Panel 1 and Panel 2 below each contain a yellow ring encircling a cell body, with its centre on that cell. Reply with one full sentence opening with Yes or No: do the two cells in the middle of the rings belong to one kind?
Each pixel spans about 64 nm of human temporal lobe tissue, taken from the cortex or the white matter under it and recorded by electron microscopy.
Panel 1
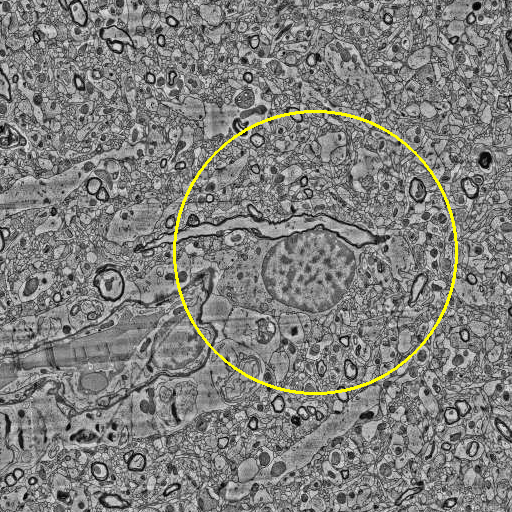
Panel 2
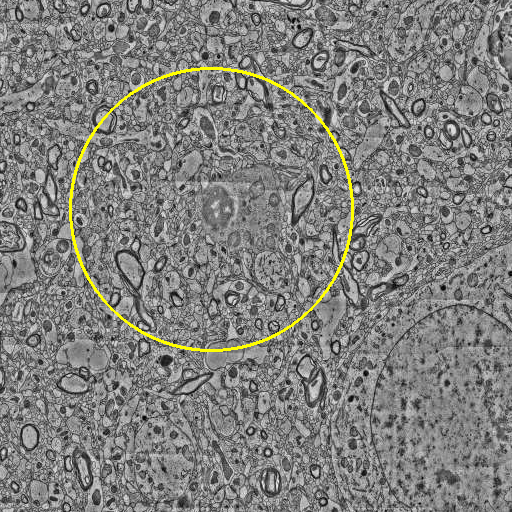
Yes, the cells at the middle of the Panel 1 ring and the Panel 2 ring are of one kind.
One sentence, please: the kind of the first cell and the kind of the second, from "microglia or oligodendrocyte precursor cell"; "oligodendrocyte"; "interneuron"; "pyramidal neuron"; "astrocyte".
In the first picture and in the second, the ring is centred on an oligodendrocyte.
